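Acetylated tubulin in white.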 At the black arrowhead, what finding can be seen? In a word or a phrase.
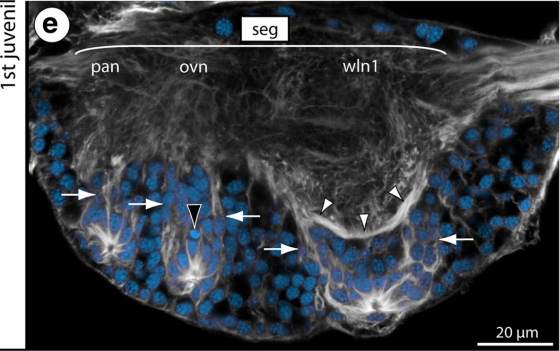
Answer: Potential pycnotic body.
